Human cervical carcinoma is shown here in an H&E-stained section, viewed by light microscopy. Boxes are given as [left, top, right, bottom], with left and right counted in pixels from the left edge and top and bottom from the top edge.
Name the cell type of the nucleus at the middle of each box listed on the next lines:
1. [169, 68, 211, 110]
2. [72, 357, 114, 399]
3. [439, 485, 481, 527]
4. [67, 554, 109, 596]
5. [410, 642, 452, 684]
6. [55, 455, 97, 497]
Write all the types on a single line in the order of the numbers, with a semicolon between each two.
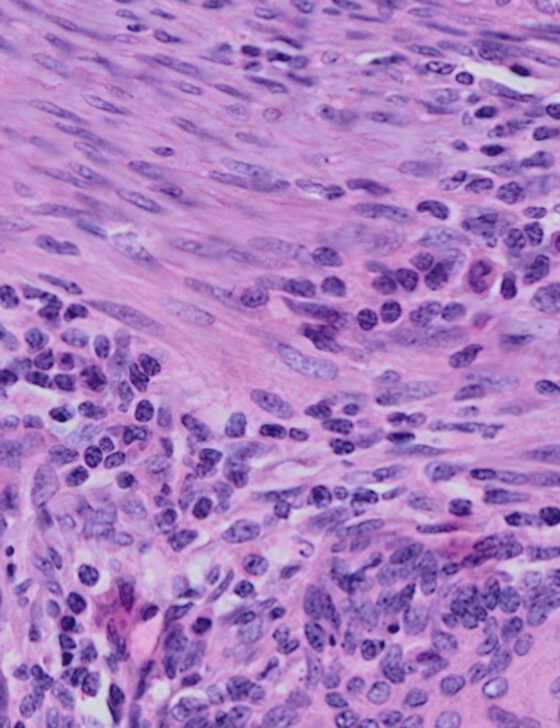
smooth muscle cell; lymphocyte; lymphocyte; lymphocyte; squamous carcinoma cell; lymphocyte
